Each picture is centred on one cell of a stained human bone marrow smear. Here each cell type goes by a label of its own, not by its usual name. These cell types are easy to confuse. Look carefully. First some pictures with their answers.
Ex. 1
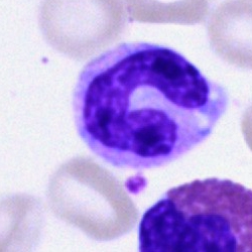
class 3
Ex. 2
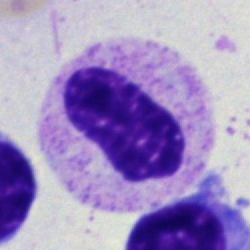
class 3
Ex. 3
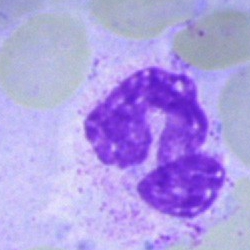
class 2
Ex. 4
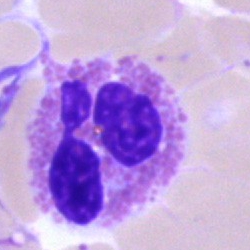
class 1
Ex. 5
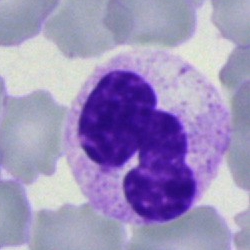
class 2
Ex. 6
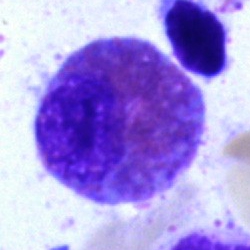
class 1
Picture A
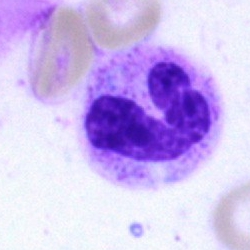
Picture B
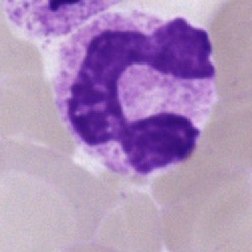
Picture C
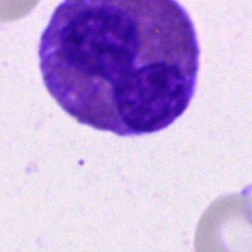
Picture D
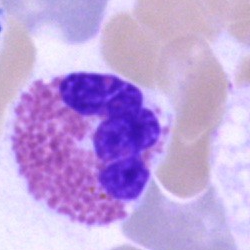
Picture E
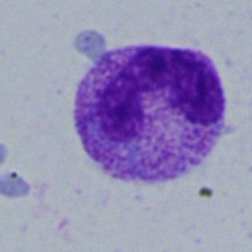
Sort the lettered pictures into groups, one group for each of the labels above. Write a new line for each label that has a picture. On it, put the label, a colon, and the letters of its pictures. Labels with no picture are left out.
class 3: A, B, E
class 1: C, D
